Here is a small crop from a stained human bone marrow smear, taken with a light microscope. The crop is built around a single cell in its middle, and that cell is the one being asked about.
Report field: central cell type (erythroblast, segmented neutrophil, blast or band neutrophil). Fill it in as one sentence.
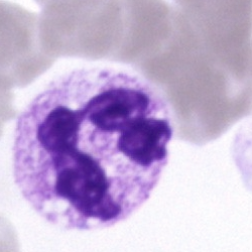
Classification of the middle cell gives a segmented neutrophil.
